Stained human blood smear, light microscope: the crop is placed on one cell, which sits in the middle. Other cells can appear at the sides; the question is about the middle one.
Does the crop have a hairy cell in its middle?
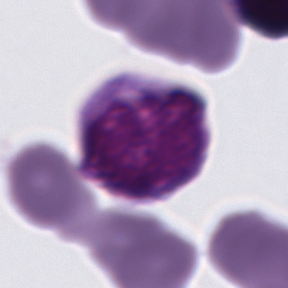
no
